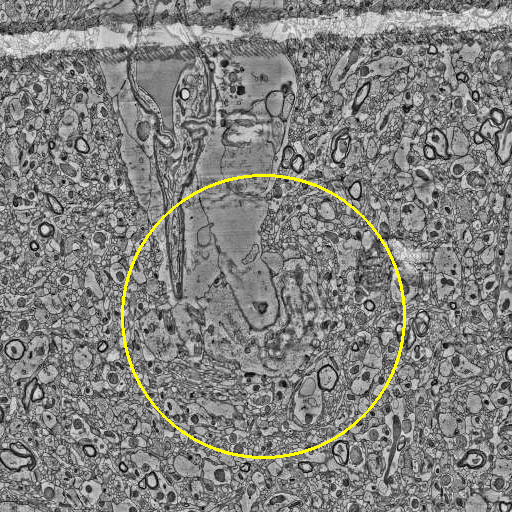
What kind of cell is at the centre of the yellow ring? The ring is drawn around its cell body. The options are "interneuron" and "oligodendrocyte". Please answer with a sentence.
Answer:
The yellow ring marks the cell body of an interneuron.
